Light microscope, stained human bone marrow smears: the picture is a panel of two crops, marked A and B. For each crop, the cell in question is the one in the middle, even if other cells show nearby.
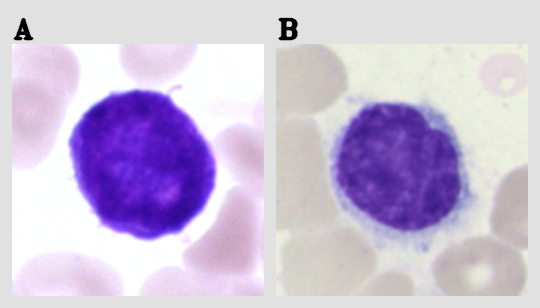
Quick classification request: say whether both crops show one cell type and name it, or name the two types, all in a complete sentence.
No, crop A is the one with a blast; crop B has a hairy cell.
